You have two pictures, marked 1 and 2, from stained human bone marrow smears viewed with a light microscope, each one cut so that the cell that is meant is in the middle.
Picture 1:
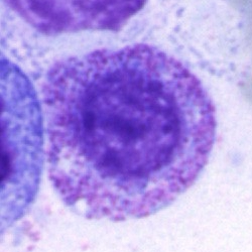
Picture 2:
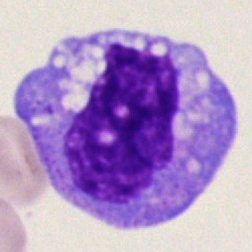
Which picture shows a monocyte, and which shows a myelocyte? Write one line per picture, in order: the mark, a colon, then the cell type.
1: myelocyte
2: monocyte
